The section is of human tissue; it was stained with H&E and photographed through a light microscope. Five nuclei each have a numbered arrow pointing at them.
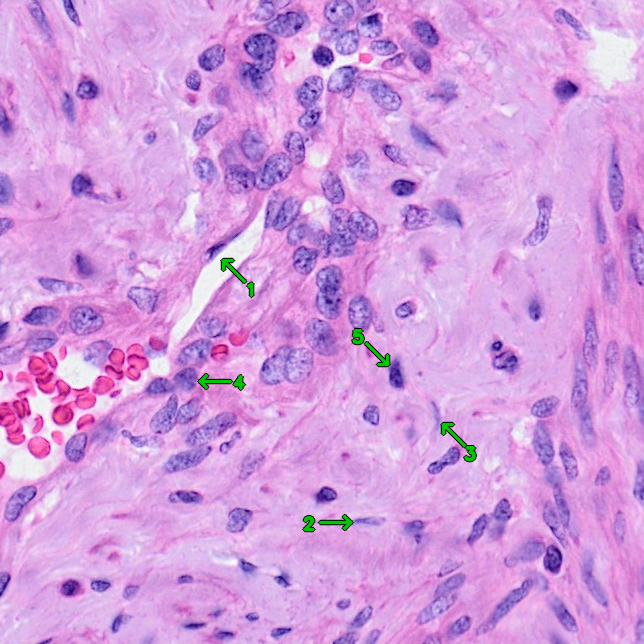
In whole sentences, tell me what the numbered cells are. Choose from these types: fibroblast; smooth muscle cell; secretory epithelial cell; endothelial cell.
Cells 1 and 4 are endothelial cells. Cells 2, 3 and 5 are fibroblasts.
